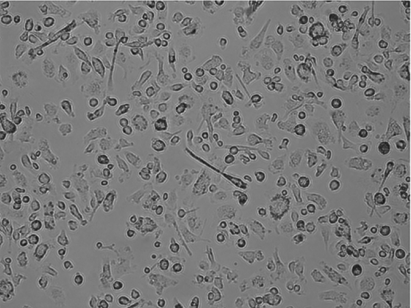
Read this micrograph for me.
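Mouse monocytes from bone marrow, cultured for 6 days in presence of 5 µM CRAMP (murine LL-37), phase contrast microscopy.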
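Numerous cells are spread and flattened, with polygonal or spindle-shaped outlines and pale cytoplasm. A few cells are drawn out into long, thin, rod-like shapes.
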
